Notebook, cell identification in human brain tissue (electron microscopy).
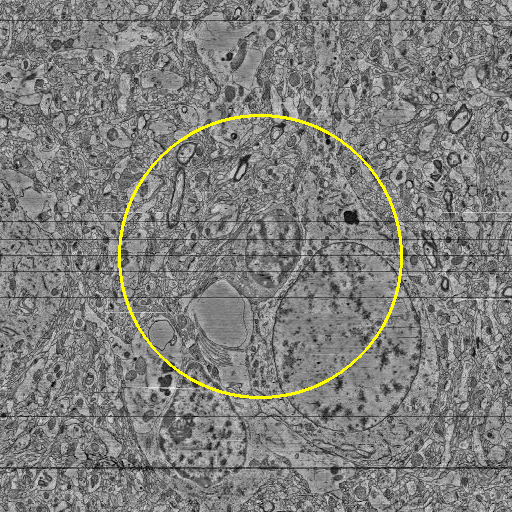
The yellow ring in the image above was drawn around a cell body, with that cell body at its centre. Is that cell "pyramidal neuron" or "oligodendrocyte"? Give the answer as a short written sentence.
The cell in the ring is an oligodendrocyte.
